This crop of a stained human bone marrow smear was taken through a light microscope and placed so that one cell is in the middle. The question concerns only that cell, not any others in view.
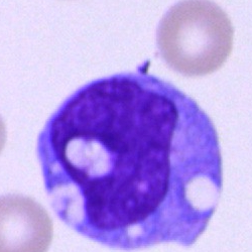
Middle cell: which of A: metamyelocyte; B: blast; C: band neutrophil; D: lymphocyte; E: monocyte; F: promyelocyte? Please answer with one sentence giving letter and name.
The centrally located cell is a monocyte, making option E the correct choice.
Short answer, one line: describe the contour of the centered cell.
The cell margin is rough and uneven, either ragged or drawn into projections.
